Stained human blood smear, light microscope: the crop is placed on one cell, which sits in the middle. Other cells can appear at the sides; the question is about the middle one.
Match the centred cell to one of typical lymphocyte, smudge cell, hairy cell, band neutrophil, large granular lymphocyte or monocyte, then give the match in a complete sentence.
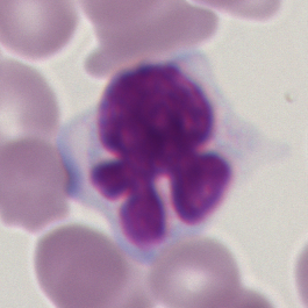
The cell in the middle of the field of view is a large granular lymphocyte.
